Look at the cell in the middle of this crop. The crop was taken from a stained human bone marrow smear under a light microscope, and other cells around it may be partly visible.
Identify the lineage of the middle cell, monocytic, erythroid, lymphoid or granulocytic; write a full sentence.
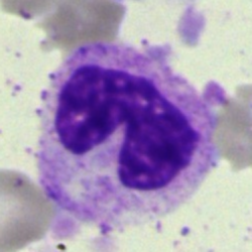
Recorded as granulocytic in lineage is the cell in the middle of the crop.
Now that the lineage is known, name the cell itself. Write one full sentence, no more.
The cell the crop is centered on is a band neutrophil.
